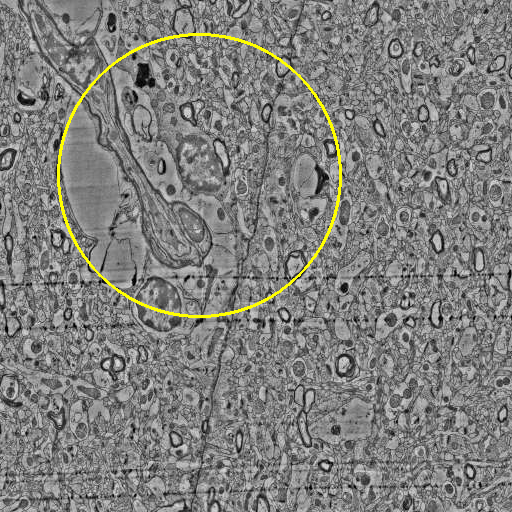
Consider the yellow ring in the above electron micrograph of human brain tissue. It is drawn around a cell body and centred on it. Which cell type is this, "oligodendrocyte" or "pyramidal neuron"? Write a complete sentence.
The cell in question is an oligodendrocyte.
